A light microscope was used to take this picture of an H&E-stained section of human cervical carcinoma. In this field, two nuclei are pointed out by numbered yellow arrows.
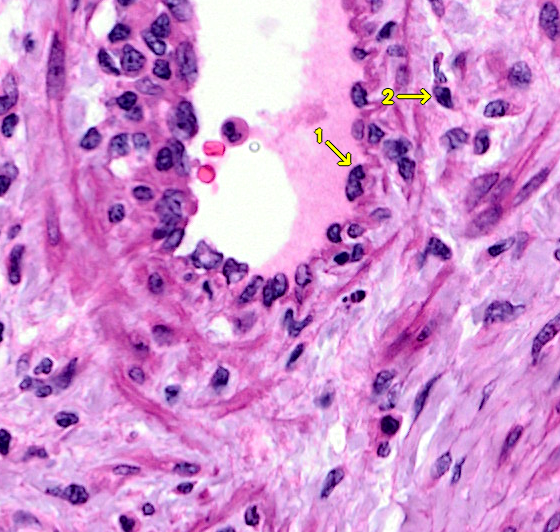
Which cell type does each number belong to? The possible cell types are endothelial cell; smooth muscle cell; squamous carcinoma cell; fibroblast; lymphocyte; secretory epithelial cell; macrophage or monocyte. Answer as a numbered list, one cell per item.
1. endothelial cell
2. lymphocyte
